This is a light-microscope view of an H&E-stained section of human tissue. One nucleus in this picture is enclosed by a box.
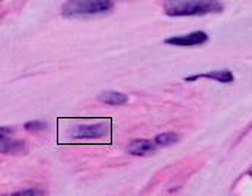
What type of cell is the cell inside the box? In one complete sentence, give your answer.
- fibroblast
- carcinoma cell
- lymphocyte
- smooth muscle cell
With respect to cell type, the cell inside the box is a smooth muscle cell.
